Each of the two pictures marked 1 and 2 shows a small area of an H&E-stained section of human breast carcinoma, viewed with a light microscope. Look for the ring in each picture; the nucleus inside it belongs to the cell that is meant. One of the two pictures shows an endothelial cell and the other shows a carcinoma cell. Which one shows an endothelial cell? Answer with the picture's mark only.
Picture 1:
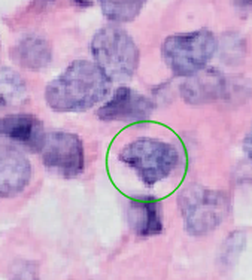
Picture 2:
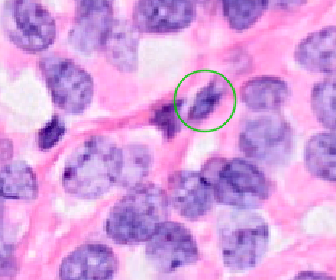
2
